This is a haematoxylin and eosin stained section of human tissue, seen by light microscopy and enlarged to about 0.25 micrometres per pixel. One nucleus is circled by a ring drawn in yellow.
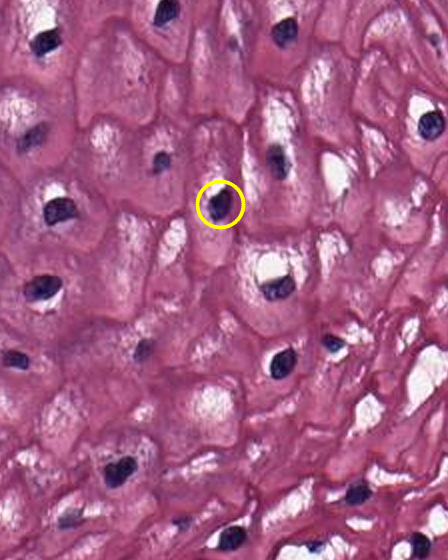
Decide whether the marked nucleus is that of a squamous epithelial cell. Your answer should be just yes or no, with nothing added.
yes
